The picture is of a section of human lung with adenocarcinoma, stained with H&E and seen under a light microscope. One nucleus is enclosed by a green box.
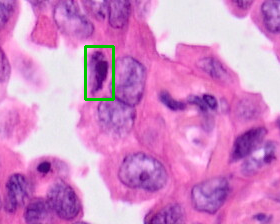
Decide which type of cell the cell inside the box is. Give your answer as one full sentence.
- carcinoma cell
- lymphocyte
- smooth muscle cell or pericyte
The cell inside the box is a carcinoma cell.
